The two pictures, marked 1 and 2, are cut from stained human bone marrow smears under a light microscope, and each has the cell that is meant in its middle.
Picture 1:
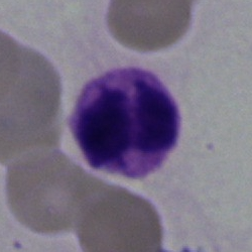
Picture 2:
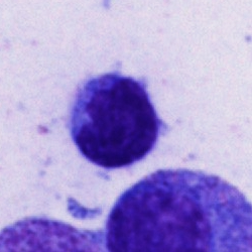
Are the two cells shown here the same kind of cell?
no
